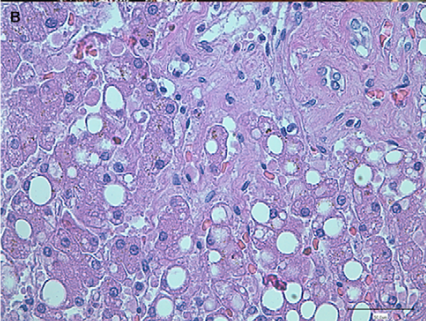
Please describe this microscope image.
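This is liver tissue in which hepatocytes arranged in cords are filled with clear cytoplasmic vacuoles. The vacuoles are round, empty-looking and of varied size, the largest nearly filling a cell, while smaller ones sit in groups within pink cytoplasm. Hepatocyte nuclei are round with visible nucleoli, and red blood cells lie in the narrow sinusoids between the cords.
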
